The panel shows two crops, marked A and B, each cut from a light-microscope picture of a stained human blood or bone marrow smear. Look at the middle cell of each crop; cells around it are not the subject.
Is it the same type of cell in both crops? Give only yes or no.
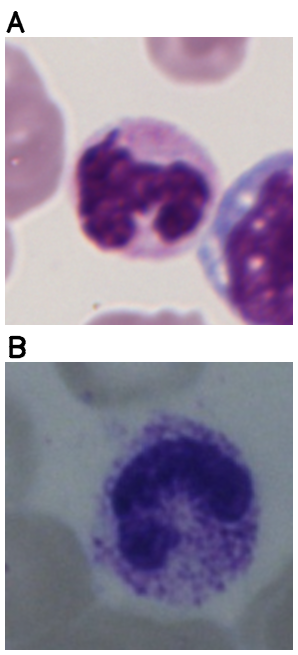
yes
